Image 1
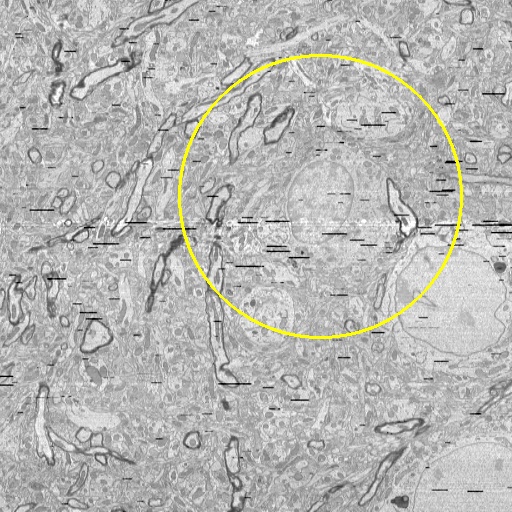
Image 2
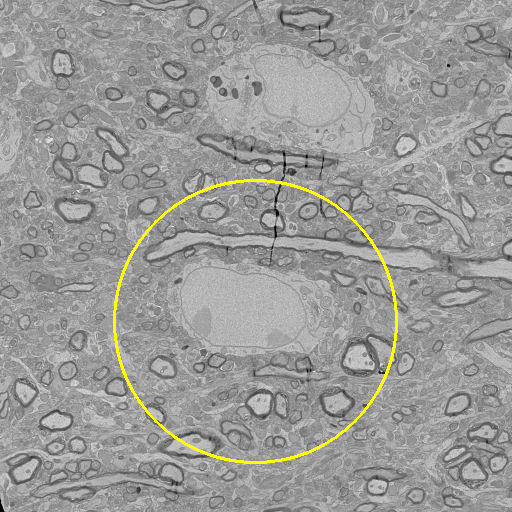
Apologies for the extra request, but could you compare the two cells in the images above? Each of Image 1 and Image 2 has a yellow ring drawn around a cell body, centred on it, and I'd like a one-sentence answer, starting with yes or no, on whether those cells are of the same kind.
No, the two cells are of two kinds.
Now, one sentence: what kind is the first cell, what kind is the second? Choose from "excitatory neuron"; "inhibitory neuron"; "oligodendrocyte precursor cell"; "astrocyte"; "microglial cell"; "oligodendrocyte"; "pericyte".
The first picture has an oligodendrocyte at its ring centre, and the second has an excitatory neuron.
